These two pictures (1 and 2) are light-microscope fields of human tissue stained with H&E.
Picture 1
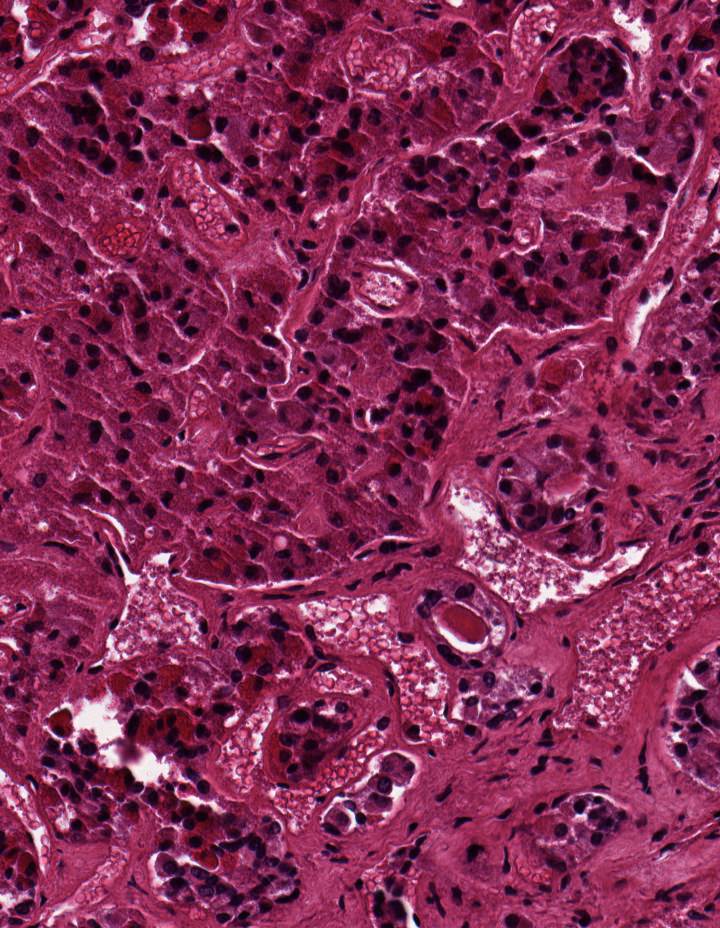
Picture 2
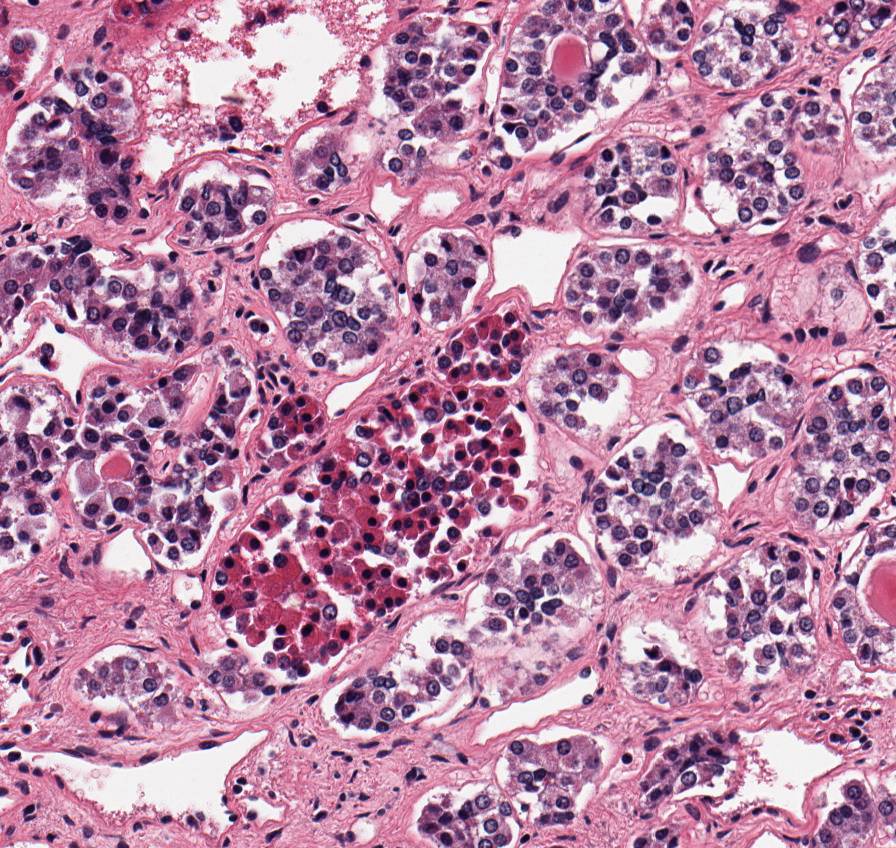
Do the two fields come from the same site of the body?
yes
